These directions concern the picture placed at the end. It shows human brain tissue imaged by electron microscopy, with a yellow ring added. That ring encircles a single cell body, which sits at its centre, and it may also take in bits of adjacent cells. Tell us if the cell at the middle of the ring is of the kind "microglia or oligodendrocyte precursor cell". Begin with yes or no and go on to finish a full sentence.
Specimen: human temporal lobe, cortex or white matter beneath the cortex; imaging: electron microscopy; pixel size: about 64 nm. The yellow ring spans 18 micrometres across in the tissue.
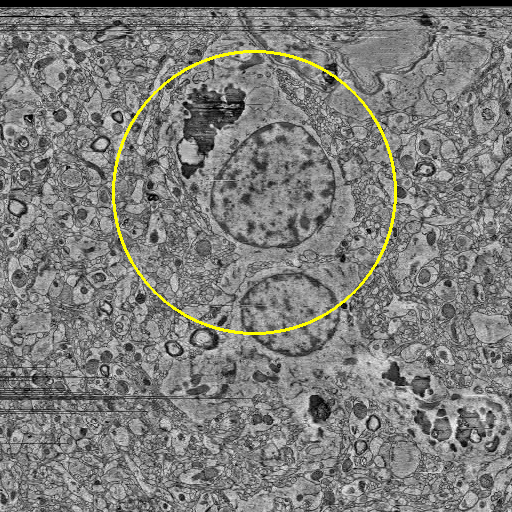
No, the cell sitting at the centre of the yellow ring in the picture belongs to another kind.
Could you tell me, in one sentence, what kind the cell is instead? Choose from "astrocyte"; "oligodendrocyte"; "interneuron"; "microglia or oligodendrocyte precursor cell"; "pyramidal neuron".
Instead, the cell at the centre of the yellow ring is an astrocyte.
